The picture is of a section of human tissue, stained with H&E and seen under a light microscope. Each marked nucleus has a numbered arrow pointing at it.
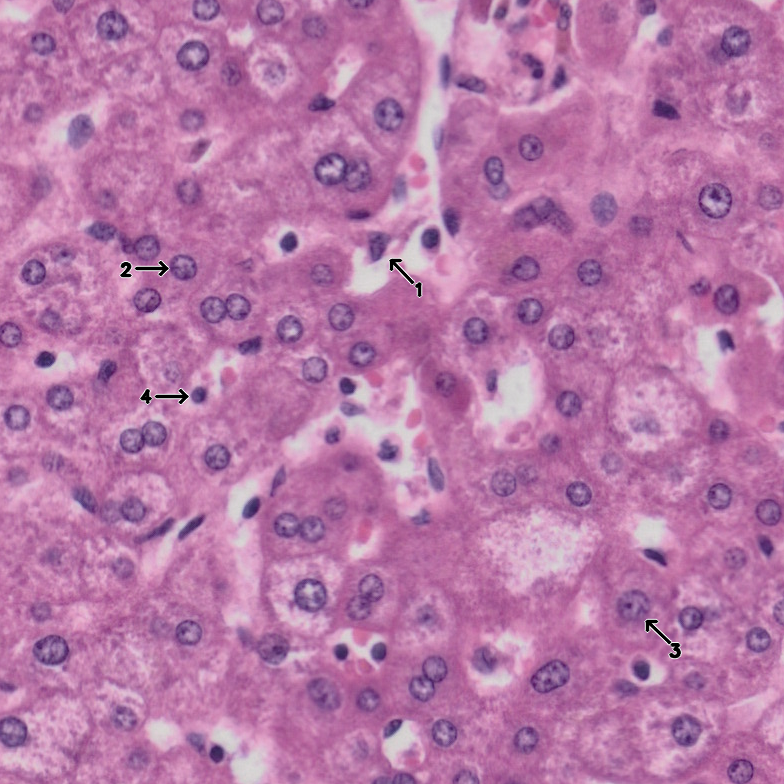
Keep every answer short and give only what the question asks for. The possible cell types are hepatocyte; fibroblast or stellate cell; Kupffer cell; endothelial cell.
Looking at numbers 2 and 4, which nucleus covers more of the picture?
2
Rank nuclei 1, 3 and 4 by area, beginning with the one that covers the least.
4, 1, 3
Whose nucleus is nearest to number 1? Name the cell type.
fibroblast or stellate cell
